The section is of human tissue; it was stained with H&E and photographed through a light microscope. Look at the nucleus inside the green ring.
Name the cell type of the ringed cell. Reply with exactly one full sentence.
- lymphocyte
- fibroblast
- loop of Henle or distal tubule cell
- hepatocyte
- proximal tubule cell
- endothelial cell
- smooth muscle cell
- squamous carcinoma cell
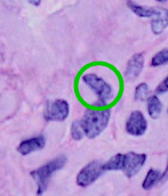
In this section, the ringed cell is a fibroblast.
